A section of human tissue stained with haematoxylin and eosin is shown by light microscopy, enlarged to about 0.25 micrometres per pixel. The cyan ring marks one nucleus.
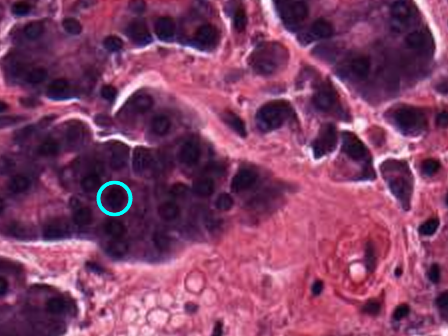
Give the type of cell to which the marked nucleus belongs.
pancreatic acinar cell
